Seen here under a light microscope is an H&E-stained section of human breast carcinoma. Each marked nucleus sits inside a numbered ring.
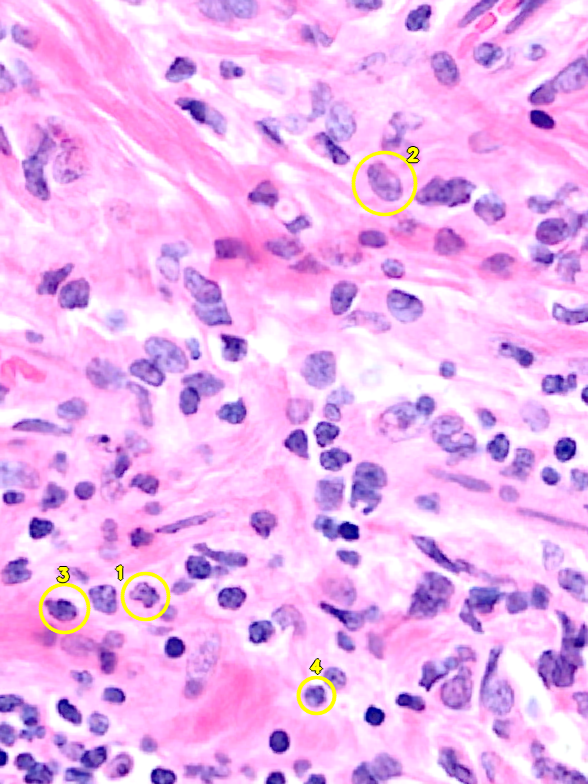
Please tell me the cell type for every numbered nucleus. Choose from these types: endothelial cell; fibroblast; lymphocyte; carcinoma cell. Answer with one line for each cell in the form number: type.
1: lymphocyte
2: carcinoma cell
3: lymphocyte
4: lymphocyte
